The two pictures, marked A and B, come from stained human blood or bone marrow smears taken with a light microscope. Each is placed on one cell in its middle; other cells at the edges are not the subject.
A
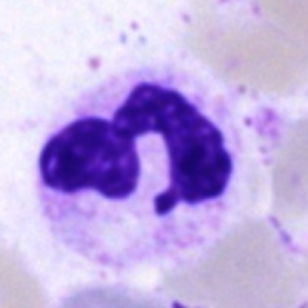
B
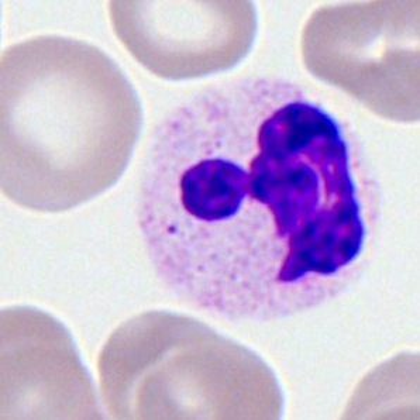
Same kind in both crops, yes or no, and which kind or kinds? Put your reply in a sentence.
Yes, both crops show segmented neutrophils, and the two match.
